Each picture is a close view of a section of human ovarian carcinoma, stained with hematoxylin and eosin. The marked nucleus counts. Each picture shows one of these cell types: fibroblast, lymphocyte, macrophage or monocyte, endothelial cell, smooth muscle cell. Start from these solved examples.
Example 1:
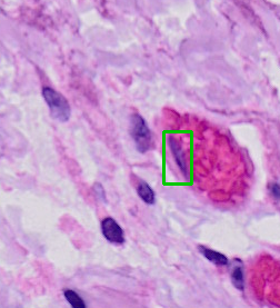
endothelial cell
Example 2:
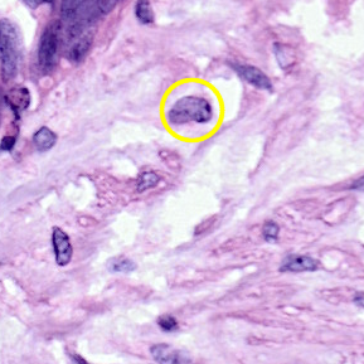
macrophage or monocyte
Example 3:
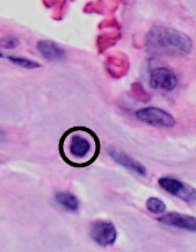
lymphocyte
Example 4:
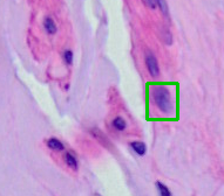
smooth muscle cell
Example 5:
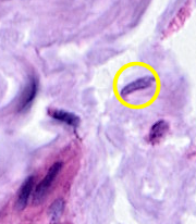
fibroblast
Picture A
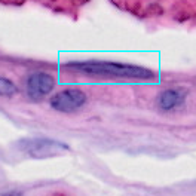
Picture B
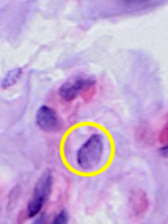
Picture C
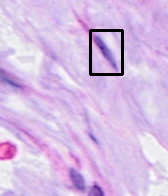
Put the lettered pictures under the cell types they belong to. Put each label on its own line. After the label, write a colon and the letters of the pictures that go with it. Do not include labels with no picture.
fibroblast: B, C
endothelial cell: A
